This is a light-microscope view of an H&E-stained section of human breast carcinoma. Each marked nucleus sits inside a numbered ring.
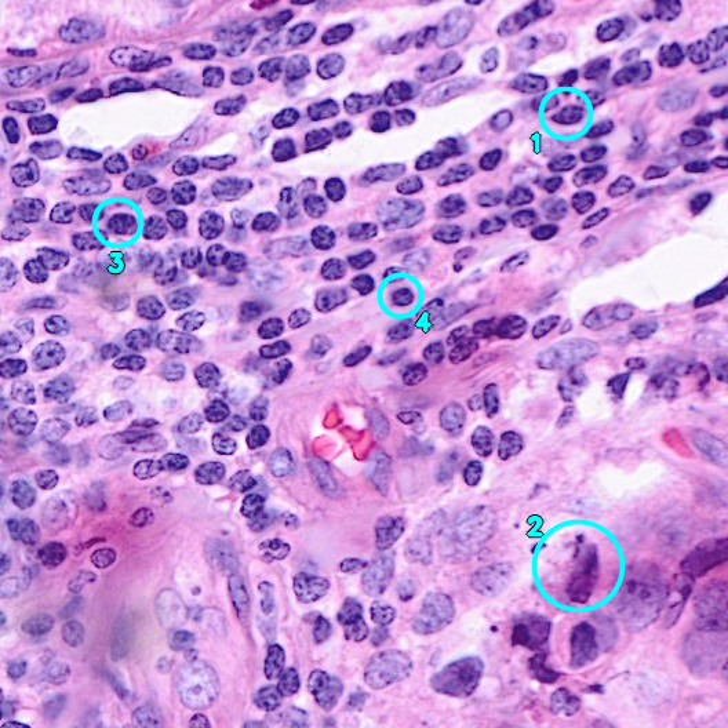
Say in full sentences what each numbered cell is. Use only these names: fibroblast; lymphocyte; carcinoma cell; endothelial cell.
Cell 1 is a lymphocyte, cell 2 is a carcinoma cell, cell 3 is a lymphocyte and cell 4 is a lymphocyte.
